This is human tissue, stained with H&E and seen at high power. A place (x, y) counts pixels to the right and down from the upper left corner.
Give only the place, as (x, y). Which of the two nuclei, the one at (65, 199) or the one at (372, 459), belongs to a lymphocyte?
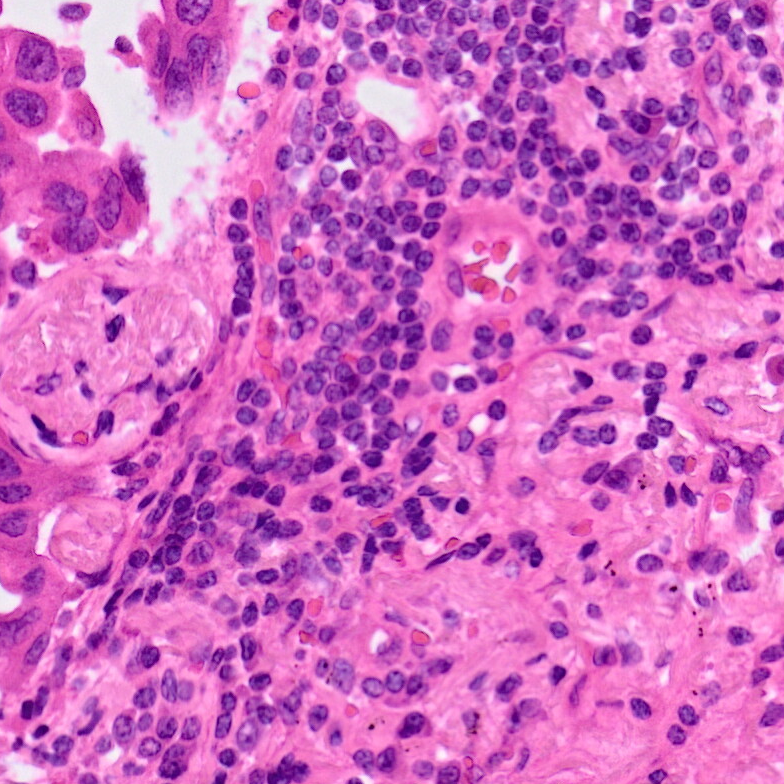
(372, 459)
